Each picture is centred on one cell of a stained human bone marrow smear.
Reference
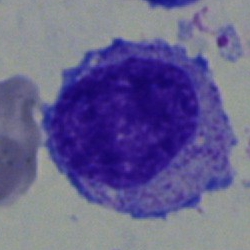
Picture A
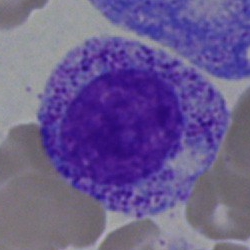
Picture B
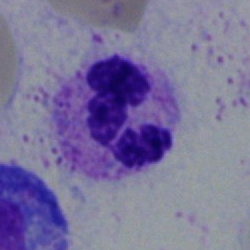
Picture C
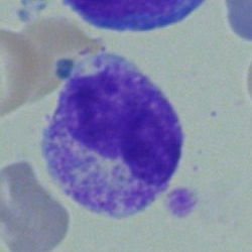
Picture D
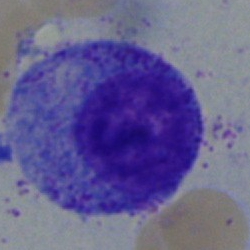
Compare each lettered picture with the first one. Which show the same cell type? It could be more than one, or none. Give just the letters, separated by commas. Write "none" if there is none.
A, D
